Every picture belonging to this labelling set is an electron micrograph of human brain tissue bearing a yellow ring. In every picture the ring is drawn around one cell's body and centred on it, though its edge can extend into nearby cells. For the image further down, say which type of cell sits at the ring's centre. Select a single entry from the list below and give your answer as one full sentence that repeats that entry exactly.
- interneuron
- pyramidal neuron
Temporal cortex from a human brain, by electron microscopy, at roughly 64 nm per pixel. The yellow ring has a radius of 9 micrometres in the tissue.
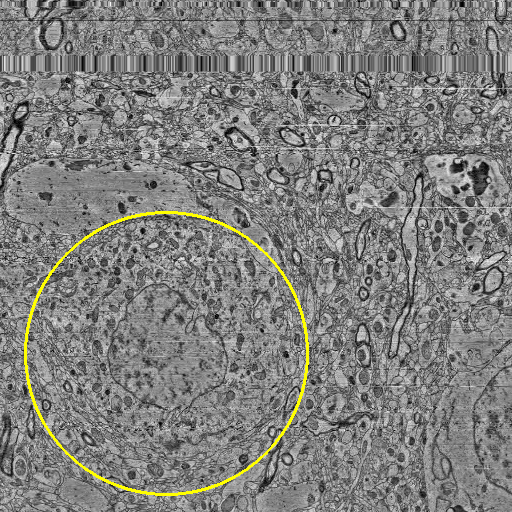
In the picture, a pyramidal neuron is the cell at the centre of the yellow ring.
